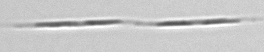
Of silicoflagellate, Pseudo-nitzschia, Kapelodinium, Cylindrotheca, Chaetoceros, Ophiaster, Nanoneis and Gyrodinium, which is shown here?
Pseudo-nitzschia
